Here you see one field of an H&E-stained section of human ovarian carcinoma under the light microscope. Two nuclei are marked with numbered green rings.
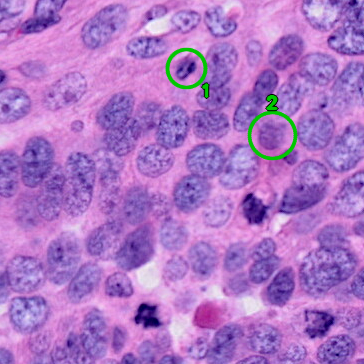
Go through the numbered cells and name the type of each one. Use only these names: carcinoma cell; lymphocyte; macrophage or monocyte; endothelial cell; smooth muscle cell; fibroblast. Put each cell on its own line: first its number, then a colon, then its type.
1: lymphocyte
2: carcinoma cell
